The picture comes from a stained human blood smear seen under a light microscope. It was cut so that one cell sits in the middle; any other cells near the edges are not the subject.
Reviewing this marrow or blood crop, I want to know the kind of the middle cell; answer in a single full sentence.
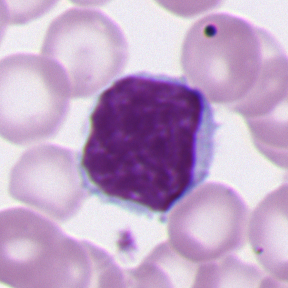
Regarding the central cell, it is a typical lymphocyte.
